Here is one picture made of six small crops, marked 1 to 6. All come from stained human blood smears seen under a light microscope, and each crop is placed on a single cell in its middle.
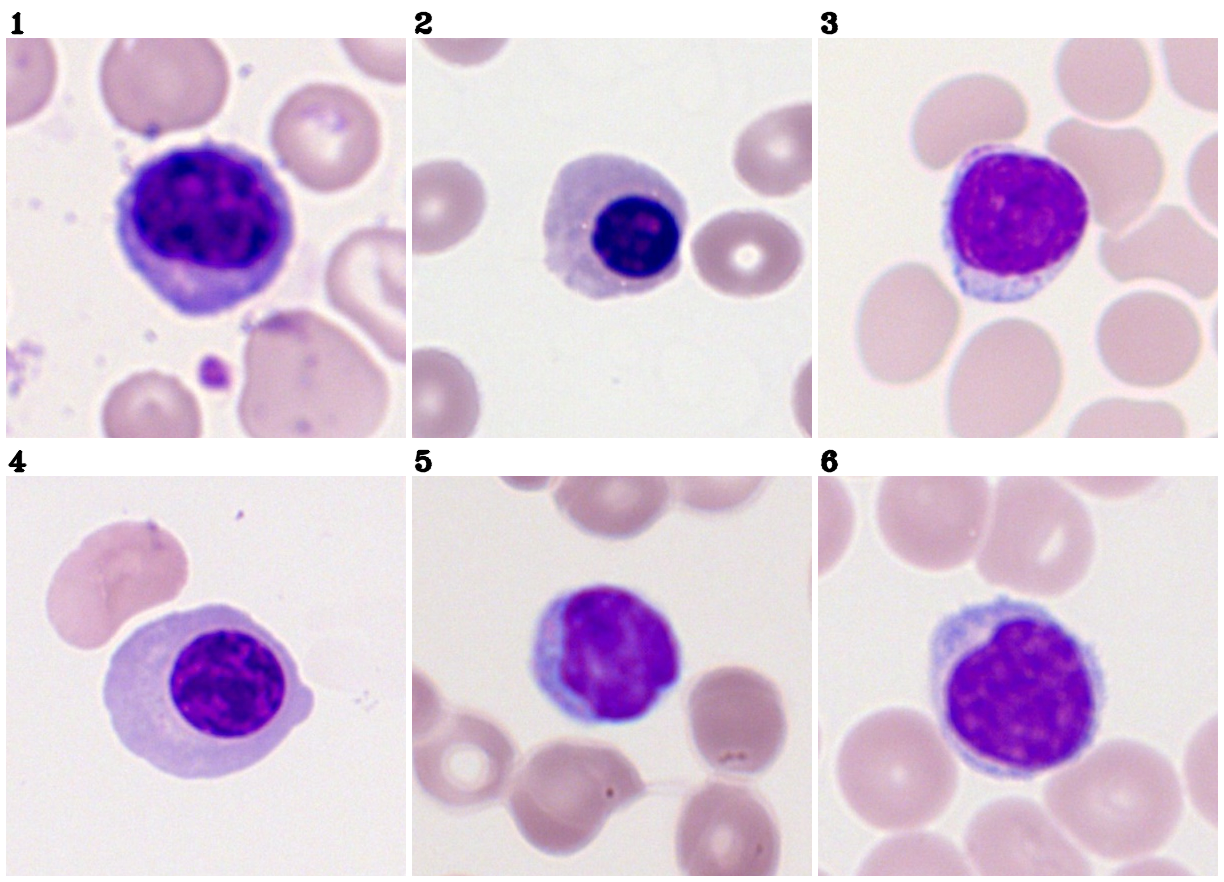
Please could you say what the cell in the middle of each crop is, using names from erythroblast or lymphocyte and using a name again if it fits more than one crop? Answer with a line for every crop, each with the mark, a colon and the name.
1: lymphocyte
2: erythroblast
3: lymphocyte
4: erythroblast
5: lymphocyte
6: lymphocyte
